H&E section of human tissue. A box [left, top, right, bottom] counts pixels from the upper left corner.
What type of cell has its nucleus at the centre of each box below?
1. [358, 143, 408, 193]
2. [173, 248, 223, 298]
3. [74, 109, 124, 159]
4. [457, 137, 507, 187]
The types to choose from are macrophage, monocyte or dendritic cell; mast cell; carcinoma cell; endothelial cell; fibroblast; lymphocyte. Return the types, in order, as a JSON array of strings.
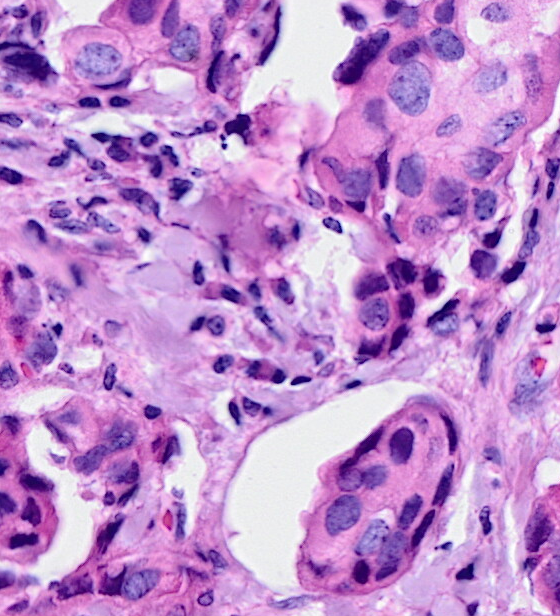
["carcinoma cell", "lymphocyte", "lymphocyte", "carcinoma cell"]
